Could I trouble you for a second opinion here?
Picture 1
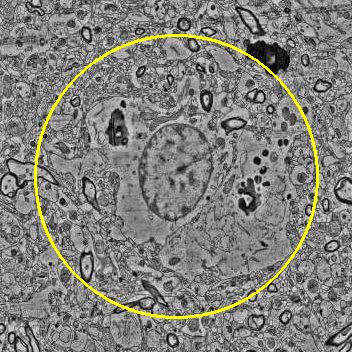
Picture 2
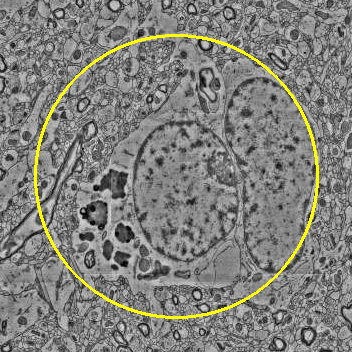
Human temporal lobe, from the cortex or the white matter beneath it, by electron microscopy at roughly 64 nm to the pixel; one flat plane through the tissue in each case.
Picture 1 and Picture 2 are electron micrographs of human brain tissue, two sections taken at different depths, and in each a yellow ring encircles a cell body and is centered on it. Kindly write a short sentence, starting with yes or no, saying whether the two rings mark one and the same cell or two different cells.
No, each yellow ring marks its own cell.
